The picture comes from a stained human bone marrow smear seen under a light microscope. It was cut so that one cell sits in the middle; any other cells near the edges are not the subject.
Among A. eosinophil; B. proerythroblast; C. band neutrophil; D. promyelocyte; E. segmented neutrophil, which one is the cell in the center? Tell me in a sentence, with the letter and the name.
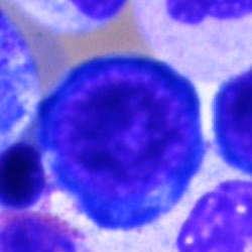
The correct response is option B, naming the cell in the middle as a proerythroblast.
